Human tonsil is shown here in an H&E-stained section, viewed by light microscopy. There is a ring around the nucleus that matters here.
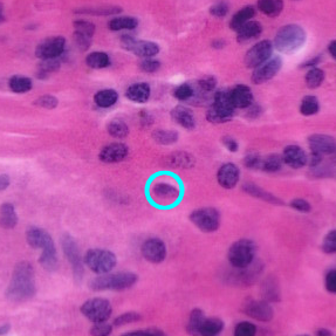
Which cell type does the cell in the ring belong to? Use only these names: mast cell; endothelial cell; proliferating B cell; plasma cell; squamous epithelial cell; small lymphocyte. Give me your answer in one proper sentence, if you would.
Just put down that the cell in the ring is a mast cell.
